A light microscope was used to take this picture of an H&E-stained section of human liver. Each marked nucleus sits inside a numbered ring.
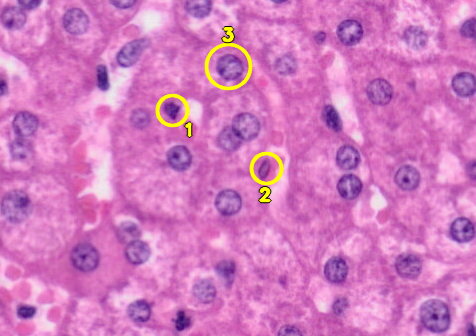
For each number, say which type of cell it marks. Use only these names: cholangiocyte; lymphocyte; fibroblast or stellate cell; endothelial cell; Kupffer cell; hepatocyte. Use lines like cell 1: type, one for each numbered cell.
cell 1: fibroblast or stellate cell
cell 2: Kupffer cell
cell 3: hepatocyte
